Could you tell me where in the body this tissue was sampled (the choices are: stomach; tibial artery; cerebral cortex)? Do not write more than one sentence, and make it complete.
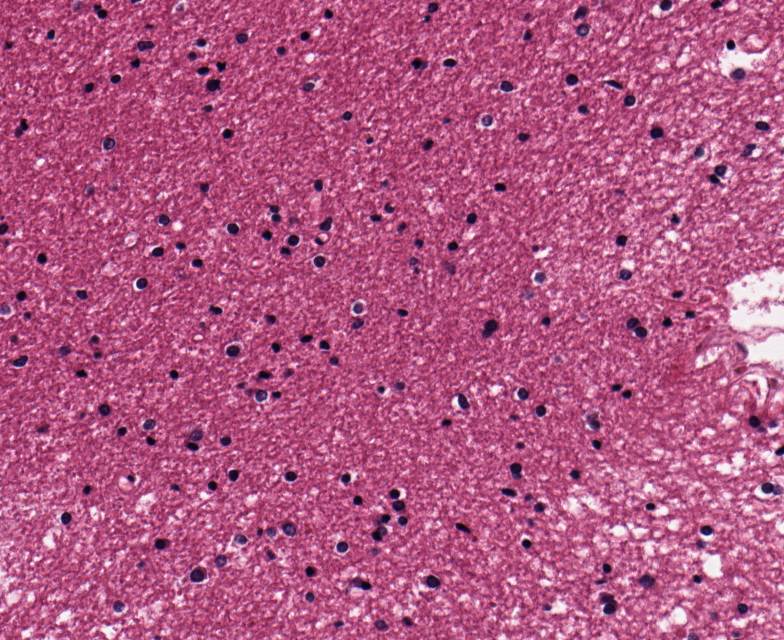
Sampled from the cerebral cortex is the tissue in this section.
